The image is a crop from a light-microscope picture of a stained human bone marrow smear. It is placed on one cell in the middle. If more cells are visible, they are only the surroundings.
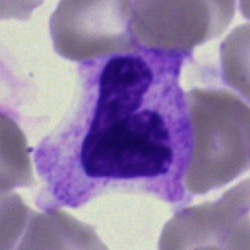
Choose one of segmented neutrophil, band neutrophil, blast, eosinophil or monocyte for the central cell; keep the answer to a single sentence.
The middle of this crop is occupied by a band neutrophil.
